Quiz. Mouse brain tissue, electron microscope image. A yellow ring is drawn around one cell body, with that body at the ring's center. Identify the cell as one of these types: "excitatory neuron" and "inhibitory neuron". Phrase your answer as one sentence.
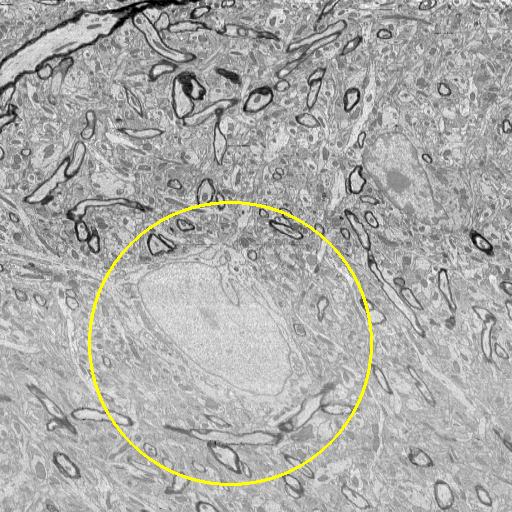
At the center of the ring sits an inhibitory neuron.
